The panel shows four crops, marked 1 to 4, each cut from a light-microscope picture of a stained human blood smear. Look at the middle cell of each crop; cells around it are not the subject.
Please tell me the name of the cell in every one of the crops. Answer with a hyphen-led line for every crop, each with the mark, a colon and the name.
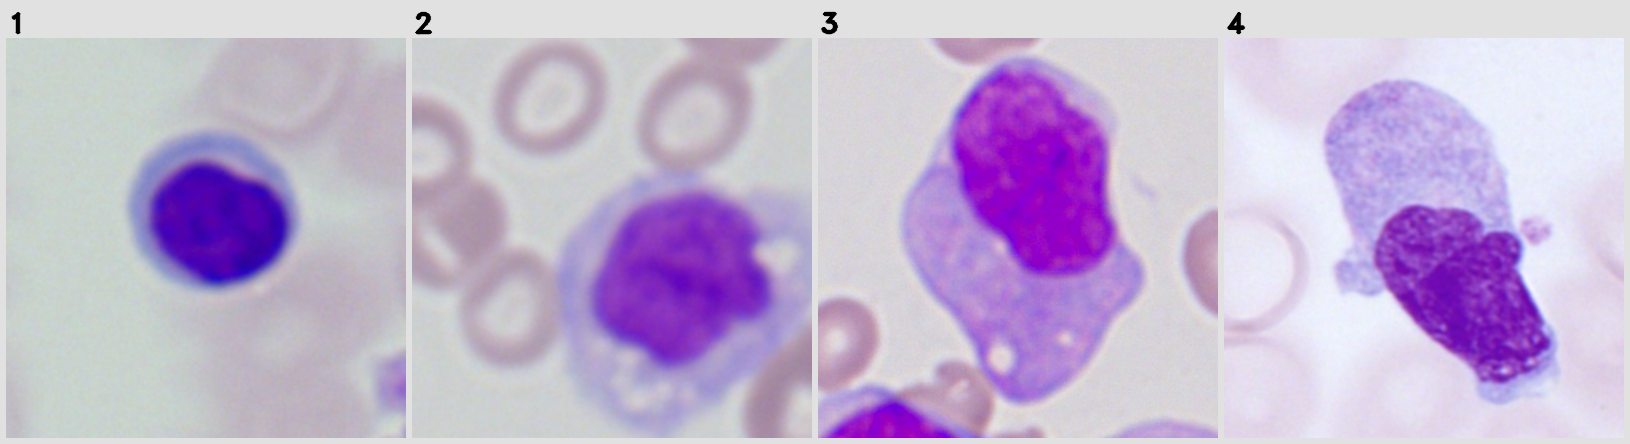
- 1: lymphocyte
- 2: monocyte
- 3: monocyte
- 4: monocyte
